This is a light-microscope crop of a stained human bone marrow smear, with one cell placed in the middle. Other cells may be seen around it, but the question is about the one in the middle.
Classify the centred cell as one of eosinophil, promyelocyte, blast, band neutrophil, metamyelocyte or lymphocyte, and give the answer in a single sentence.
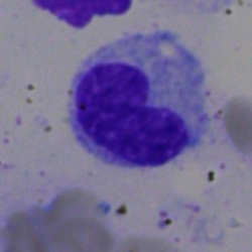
The cell that lies at the centre of the crop is a metamyelocyte.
